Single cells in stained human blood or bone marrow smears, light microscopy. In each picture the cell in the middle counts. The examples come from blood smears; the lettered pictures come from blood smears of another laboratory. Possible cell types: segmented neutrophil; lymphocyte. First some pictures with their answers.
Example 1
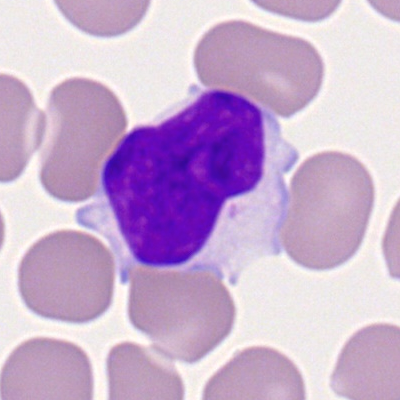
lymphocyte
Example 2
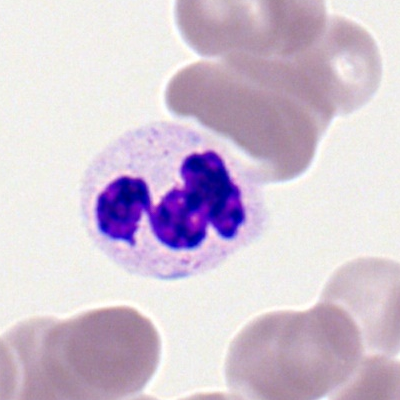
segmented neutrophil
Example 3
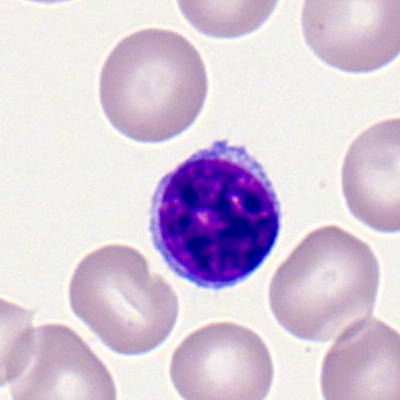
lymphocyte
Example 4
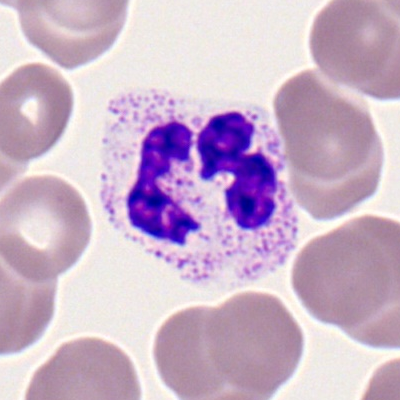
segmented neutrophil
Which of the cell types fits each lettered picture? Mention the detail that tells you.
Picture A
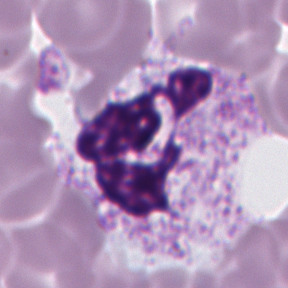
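segmented neutrophil. Evidence: The cytoplasm is plentiful and very pale, almost colourless.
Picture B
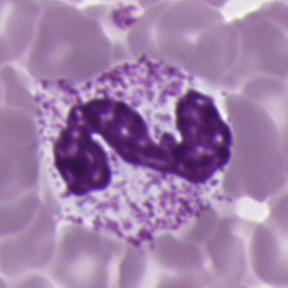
segmented neutrophil. Evidence: The cytoplasm is abundant and very pale, almost colourless.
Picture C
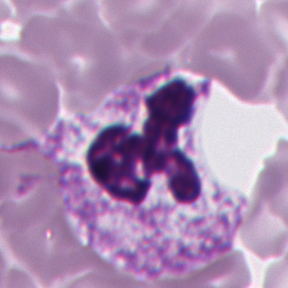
segmented neutrophil. Evidence: The granules leave the lobes of the nucleus clearly visible.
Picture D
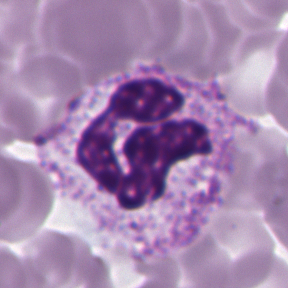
segmented neutrophil. Evidence: A wide rim of pale pinkish-lilac cytoplasm surrounds the nucleus.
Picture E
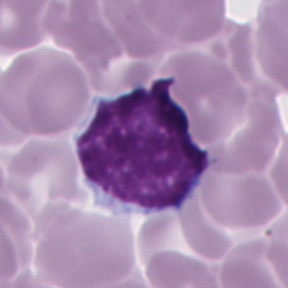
lymphocyte. Evidence: The cytoplasm forms only a very thin rim around the nucleus.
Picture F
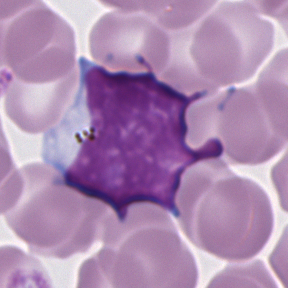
lymphocyte. Evidence: The nucleus fills most of the cell.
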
